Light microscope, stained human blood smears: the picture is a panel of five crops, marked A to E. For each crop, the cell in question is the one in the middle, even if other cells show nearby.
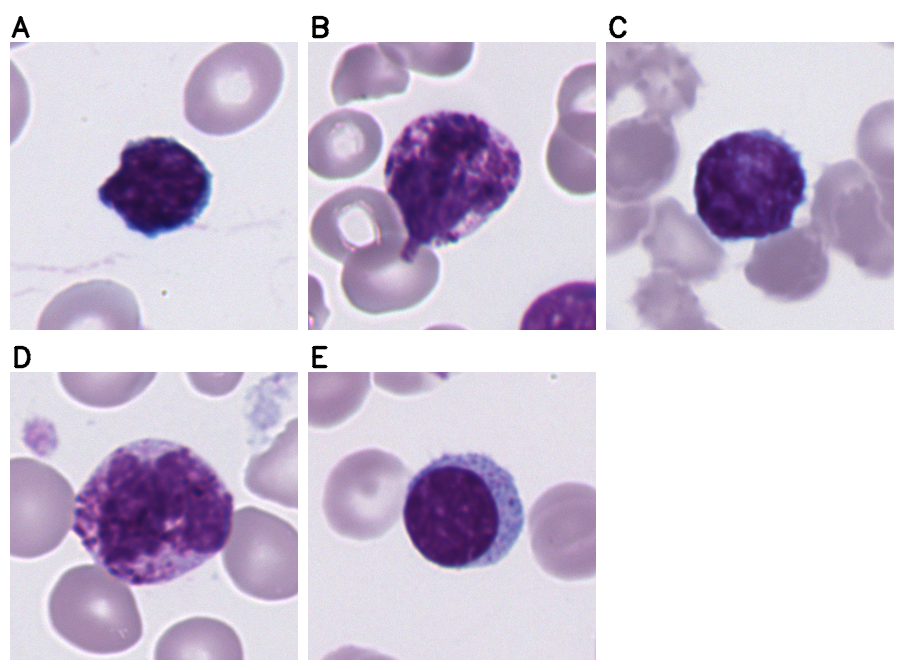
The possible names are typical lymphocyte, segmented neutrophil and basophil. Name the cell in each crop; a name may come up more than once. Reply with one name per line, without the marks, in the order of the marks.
typical lymphocyte
basophil
typical lymphocyte
basophil
typical lymphocyte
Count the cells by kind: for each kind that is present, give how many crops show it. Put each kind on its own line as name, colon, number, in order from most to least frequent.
typical lymphocyte: 3
basophil: 2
